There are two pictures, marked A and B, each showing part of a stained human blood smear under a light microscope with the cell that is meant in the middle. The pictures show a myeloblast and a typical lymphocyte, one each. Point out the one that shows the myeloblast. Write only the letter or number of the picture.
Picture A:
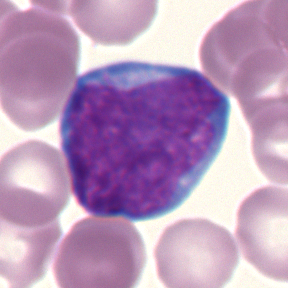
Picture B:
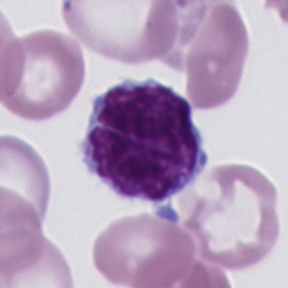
A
